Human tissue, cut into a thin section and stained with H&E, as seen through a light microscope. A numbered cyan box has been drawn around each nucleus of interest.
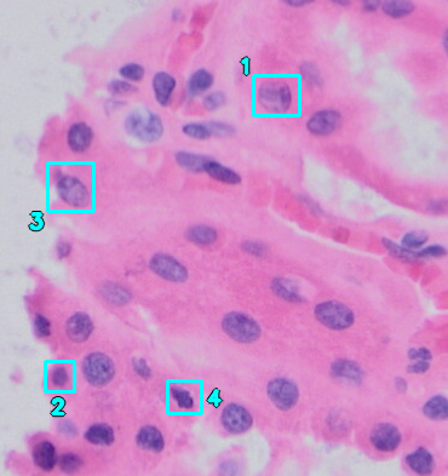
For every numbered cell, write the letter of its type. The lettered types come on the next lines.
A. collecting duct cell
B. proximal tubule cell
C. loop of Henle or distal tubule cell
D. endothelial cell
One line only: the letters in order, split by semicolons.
B; C; C; C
